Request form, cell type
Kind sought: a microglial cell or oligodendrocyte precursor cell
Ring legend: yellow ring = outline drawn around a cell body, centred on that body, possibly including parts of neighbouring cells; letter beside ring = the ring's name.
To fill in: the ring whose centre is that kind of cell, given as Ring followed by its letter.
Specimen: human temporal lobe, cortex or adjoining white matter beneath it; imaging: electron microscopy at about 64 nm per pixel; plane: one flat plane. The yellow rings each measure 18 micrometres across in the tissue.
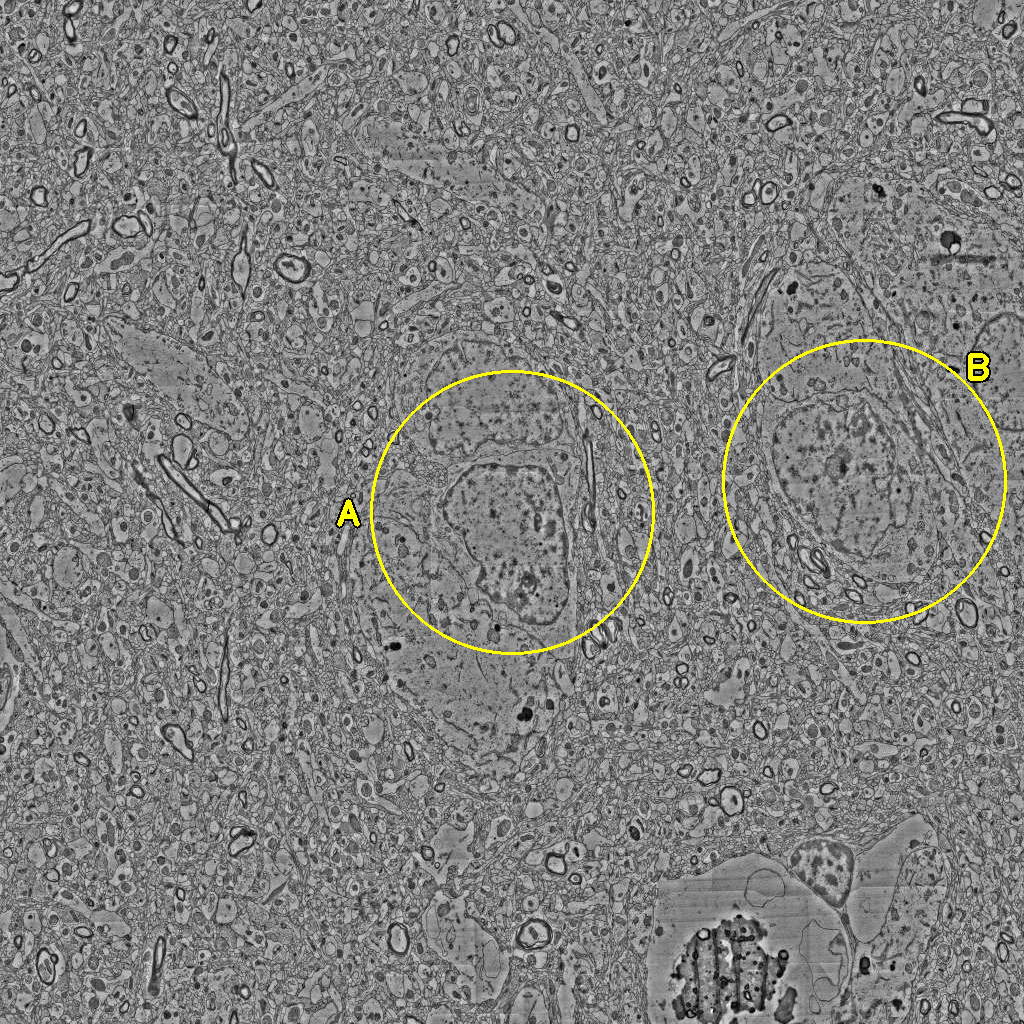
Ring A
